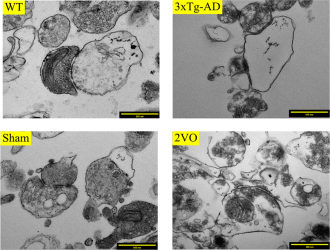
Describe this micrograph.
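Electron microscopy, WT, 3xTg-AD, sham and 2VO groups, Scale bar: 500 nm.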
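These transmission electron micrographs show an isolated preparation of synaptosomes: pinched-off nerve terminals resealed into round and oval membrane-bound sacs. They lie loosely scattered on a pale background, with no surrounding tissue or intact cells. Some profiles appear empty, torn or flattened, and loose membrane fragments and debris lie between the sacs. The profiles vary considerably in size and electron density across the four fields.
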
